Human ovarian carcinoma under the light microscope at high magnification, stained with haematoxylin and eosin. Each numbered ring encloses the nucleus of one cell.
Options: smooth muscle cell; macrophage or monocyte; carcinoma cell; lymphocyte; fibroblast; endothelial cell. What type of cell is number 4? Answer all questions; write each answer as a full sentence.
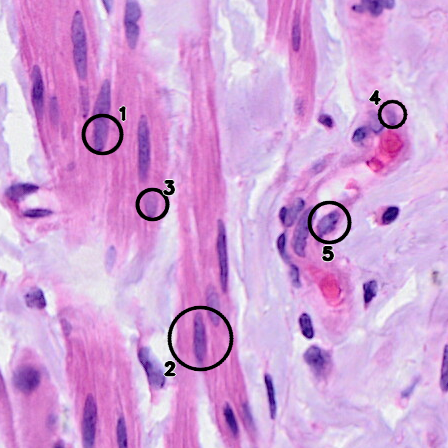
The cell referred to as 4 is an endothelial cell.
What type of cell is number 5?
The cell that is numbered 5 is an endothelial cell.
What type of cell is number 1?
The cell carrying label 1 is identified as a smooth muscle cell.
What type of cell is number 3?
The nucleus with number 3 is that of a smooth muscle cell.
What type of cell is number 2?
The identity of cell 2 is that of a smooth muscle cell.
